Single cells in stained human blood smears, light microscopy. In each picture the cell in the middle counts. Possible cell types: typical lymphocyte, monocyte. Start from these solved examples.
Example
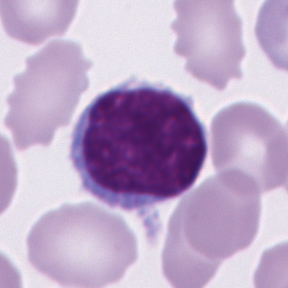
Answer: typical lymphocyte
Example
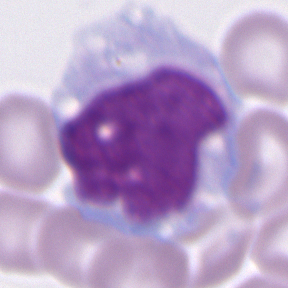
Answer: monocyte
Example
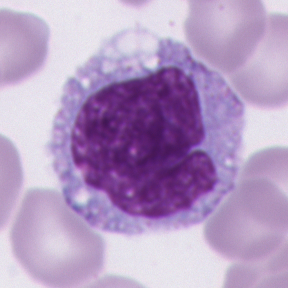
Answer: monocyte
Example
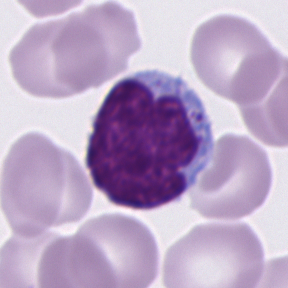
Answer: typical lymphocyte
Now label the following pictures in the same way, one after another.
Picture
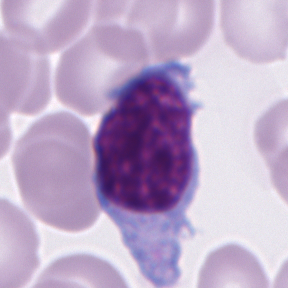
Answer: typical lymphocyte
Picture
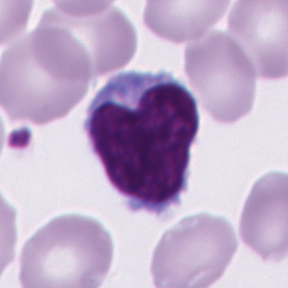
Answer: typical lymphocyte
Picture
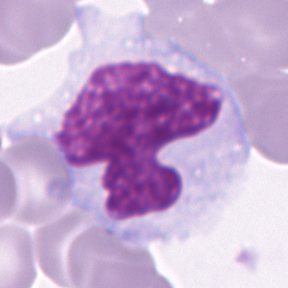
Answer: monocyte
